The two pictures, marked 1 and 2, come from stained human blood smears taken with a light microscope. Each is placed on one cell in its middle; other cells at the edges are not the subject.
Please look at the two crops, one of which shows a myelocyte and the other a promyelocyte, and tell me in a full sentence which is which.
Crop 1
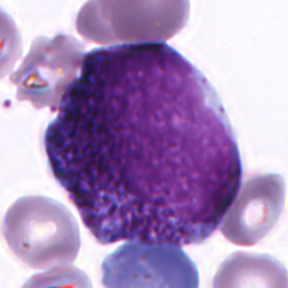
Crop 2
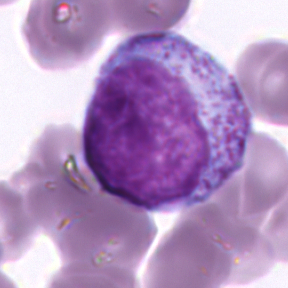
Crop 1 features a promyelocyte, and crop 2 features a myelocyte.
